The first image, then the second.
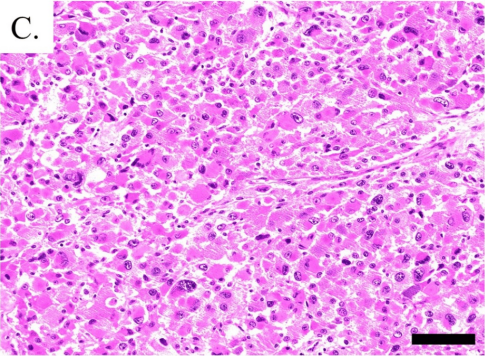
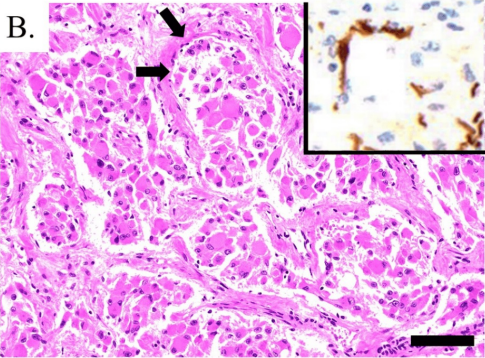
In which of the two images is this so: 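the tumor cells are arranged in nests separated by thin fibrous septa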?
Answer: the second image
